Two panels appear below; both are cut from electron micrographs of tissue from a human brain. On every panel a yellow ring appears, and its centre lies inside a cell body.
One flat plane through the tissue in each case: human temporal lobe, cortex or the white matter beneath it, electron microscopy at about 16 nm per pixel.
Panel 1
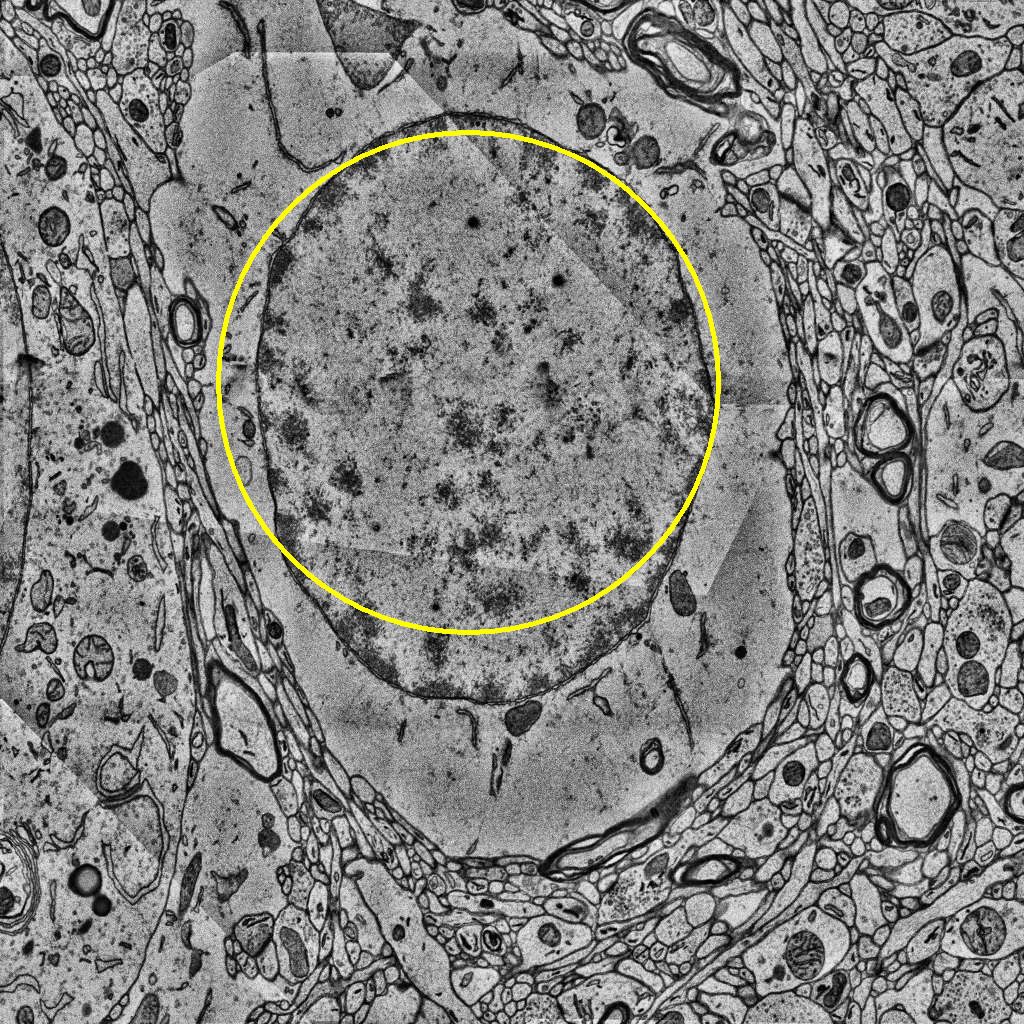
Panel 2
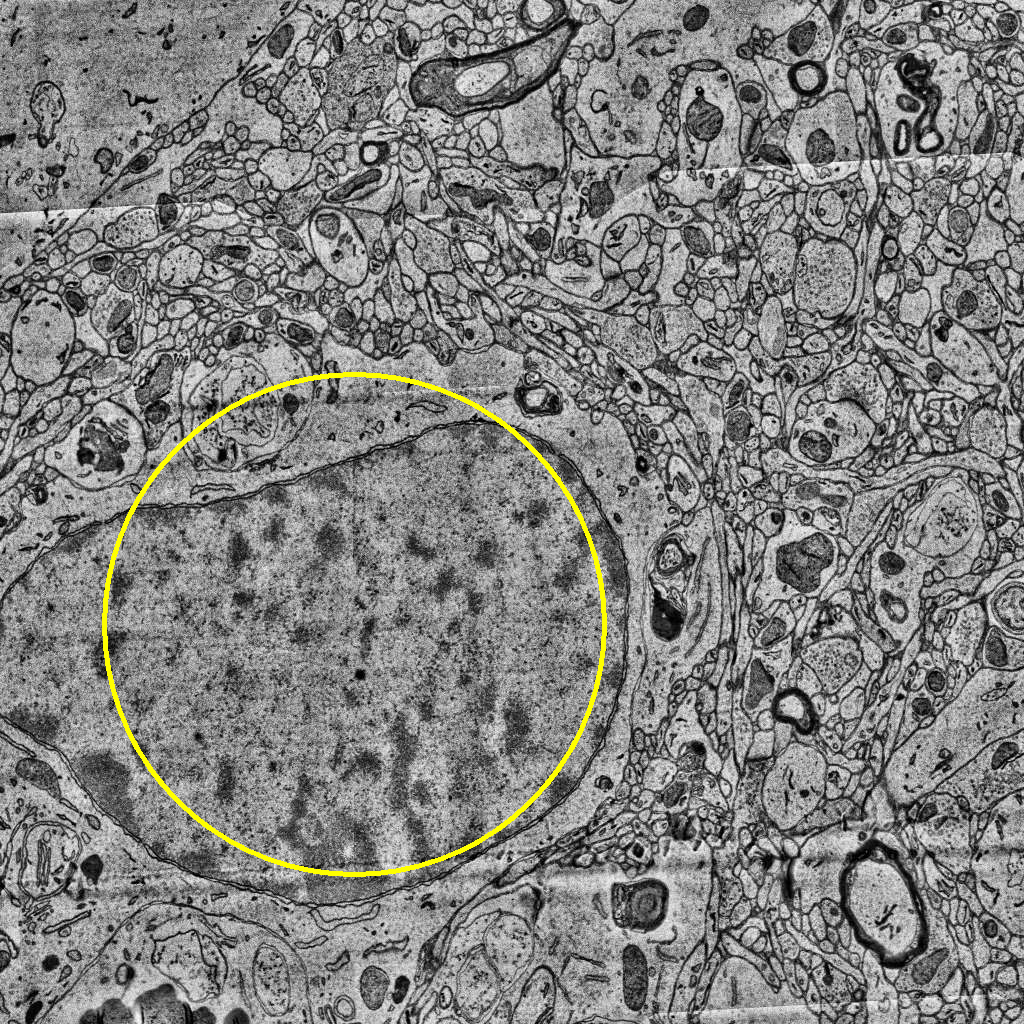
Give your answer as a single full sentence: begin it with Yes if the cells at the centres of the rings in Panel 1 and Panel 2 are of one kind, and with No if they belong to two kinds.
No, the cells at the middle of the rings in Panels 1 and 2 are of two kinds.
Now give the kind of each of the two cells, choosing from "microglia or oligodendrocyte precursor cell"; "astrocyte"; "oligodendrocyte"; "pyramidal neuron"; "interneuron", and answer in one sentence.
The first picture shows an astrocyte at the ring centre and the second shows a microglial cell or oligodendrocyte precursor cell.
